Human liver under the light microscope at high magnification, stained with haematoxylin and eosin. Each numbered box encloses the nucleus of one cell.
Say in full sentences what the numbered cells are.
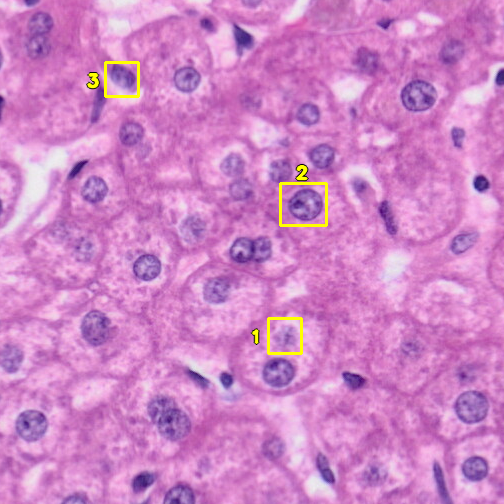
Cell 1 is a hepatocyte, cell 2 is a hepatocyte and cell 3 is a Kupffer cell.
